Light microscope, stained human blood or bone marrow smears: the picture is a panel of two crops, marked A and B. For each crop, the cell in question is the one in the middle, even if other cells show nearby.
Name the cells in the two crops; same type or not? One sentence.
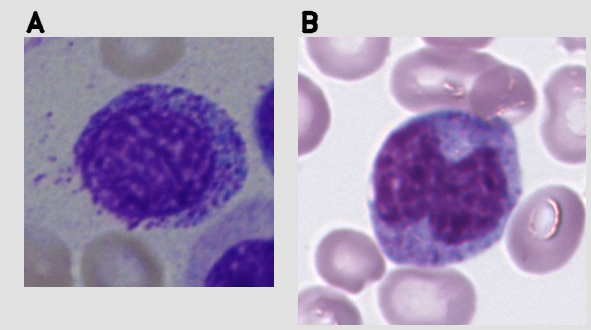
No, crop A offers a myelocyte, while crop B offers a monocyte.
